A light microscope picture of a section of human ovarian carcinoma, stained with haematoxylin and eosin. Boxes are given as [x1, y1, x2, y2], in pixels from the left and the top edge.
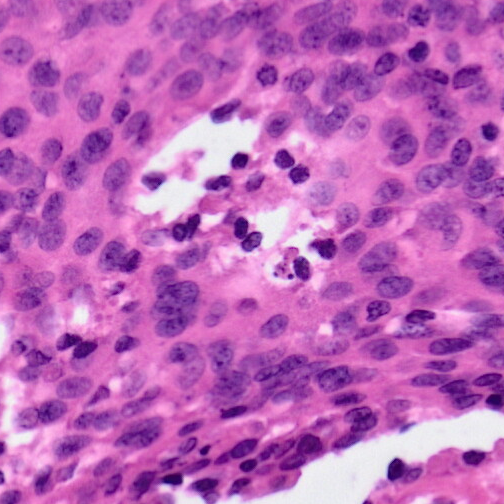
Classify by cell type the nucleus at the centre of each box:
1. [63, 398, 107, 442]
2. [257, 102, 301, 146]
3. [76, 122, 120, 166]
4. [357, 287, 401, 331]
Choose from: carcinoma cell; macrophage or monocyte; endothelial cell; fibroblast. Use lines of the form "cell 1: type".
cell 1: carcinoma cell
cell 2: carcinoma cell
cell 3: carcinoma cell
cell 4: macrophage or monocyte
